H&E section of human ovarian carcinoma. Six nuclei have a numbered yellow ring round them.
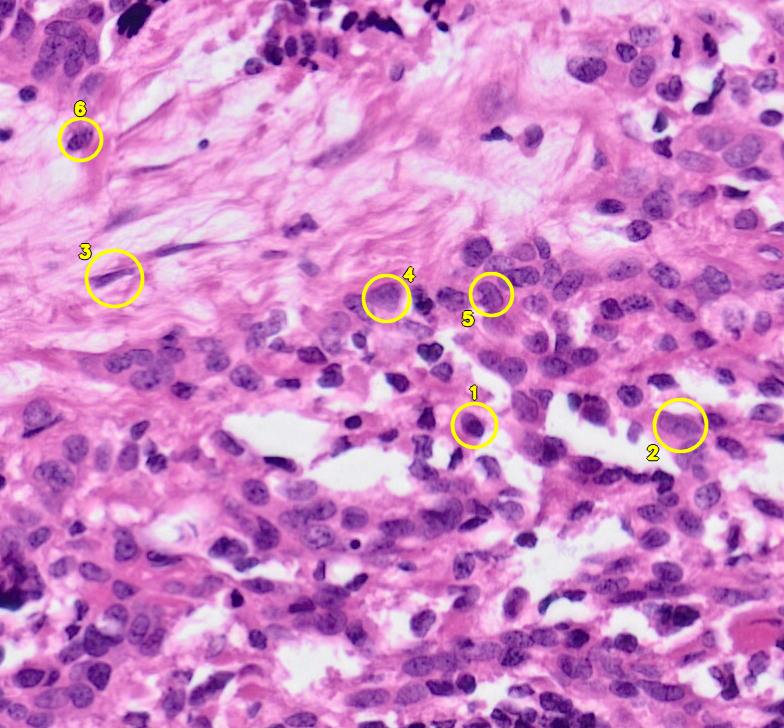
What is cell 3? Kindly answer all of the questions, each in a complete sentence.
The expected answer is that cell 3 is a fibroblast.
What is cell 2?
In the tissue shown, cell 2 is a carcinoma cell.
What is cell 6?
Identified as a macrophage or monocyte is the cell bearing the number 6.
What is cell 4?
The cell to which the number 4 is assigned is a carcinoma cell.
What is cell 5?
The cell bearing label 5 corresponds to a carcinoma cell.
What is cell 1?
Identified as a carcinoma cell is the cell bearing the number 1.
